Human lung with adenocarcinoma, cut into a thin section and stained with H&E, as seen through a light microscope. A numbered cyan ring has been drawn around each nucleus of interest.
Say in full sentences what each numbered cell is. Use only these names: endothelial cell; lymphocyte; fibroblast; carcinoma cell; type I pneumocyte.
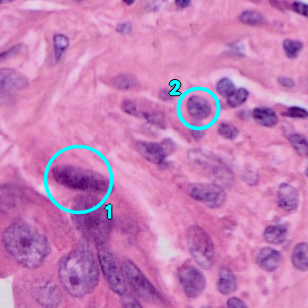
Cell 1 is a carcinoma cell and cell 2 is a lymphocyte.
